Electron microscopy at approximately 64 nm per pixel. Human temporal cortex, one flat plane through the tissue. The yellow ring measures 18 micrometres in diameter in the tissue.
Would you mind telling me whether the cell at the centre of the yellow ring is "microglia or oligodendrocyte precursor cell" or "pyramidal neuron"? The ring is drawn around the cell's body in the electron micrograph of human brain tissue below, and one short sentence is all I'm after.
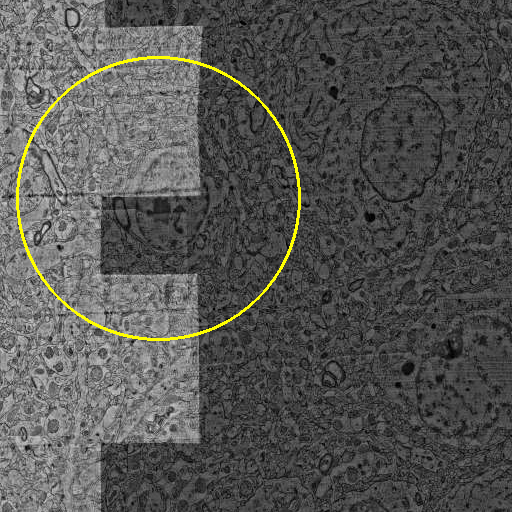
In the centre of the ring lies a microglial cell or oligodendrocyte precursor cell.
